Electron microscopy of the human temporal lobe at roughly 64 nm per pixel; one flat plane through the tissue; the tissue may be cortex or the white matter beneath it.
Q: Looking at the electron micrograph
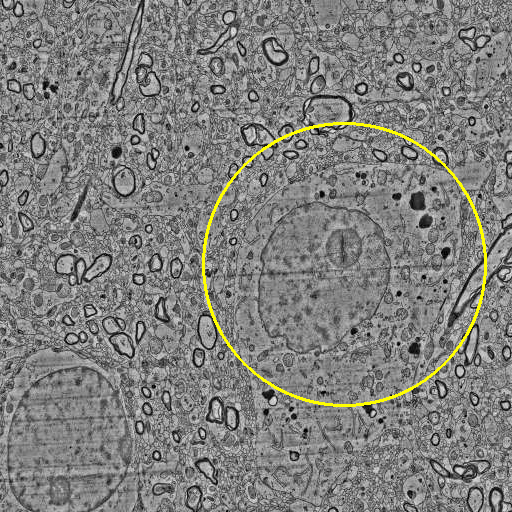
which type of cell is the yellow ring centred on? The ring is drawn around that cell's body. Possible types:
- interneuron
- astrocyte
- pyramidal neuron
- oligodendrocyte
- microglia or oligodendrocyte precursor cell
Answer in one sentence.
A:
The yellow ring is centred on a pyramidal neuron.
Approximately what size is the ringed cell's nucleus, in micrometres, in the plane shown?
In this plane, about 10 micrometres in length and 8 in width.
